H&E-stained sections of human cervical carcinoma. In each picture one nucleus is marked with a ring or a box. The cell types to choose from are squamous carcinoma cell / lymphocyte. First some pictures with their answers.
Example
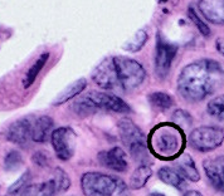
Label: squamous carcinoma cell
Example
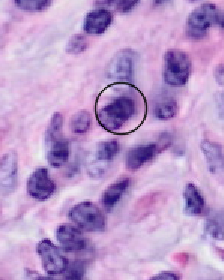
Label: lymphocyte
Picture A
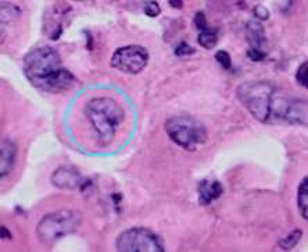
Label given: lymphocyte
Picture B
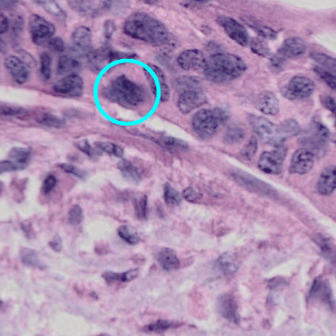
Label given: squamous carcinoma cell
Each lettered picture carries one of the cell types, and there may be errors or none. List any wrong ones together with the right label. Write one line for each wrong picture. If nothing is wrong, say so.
A is labelled lymphocyte; correct label: squamous carcinoma cell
